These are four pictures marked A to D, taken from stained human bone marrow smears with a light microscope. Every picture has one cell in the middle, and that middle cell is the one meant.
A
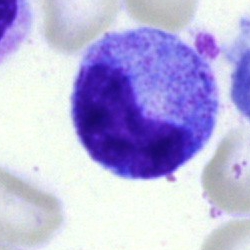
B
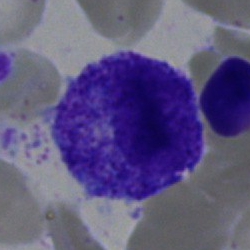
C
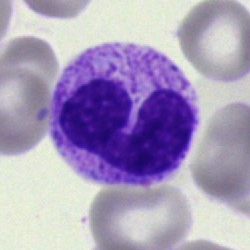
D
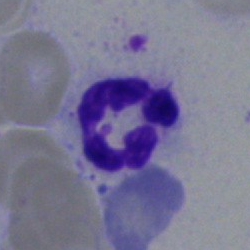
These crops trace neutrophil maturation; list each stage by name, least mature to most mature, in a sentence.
Ordering the crops by maturity, least first, gives crop B (a promyelocyte), crop A (a metamyelocyte), crop C (a band neutrophil) and crop D (a segmented neutrophil).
